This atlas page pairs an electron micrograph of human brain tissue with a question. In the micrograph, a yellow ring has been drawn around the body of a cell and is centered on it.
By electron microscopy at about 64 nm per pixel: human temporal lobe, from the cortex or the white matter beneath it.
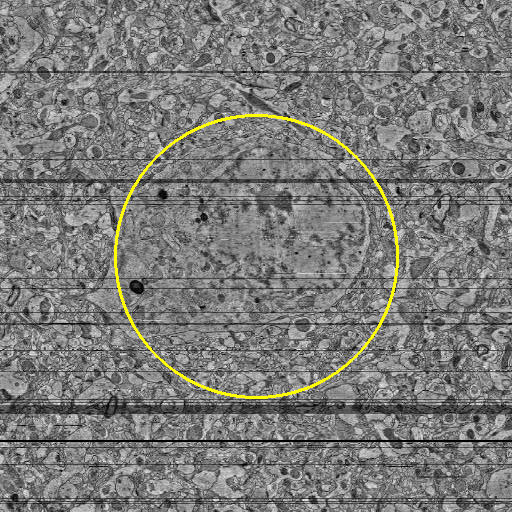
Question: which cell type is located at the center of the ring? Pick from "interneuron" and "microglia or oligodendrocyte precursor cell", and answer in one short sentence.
Located at the center of the ring is an interneuron.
